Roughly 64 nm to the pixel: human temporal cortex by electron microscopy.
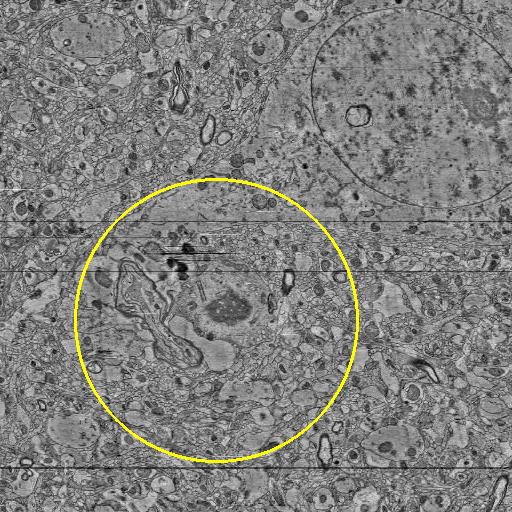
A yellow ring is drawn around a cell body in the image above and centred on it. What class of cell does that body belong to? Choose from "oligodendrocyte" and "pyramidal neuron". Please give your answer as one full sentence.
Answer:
The yellow ring above is centred on the cell body of an oligodendrocyte.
